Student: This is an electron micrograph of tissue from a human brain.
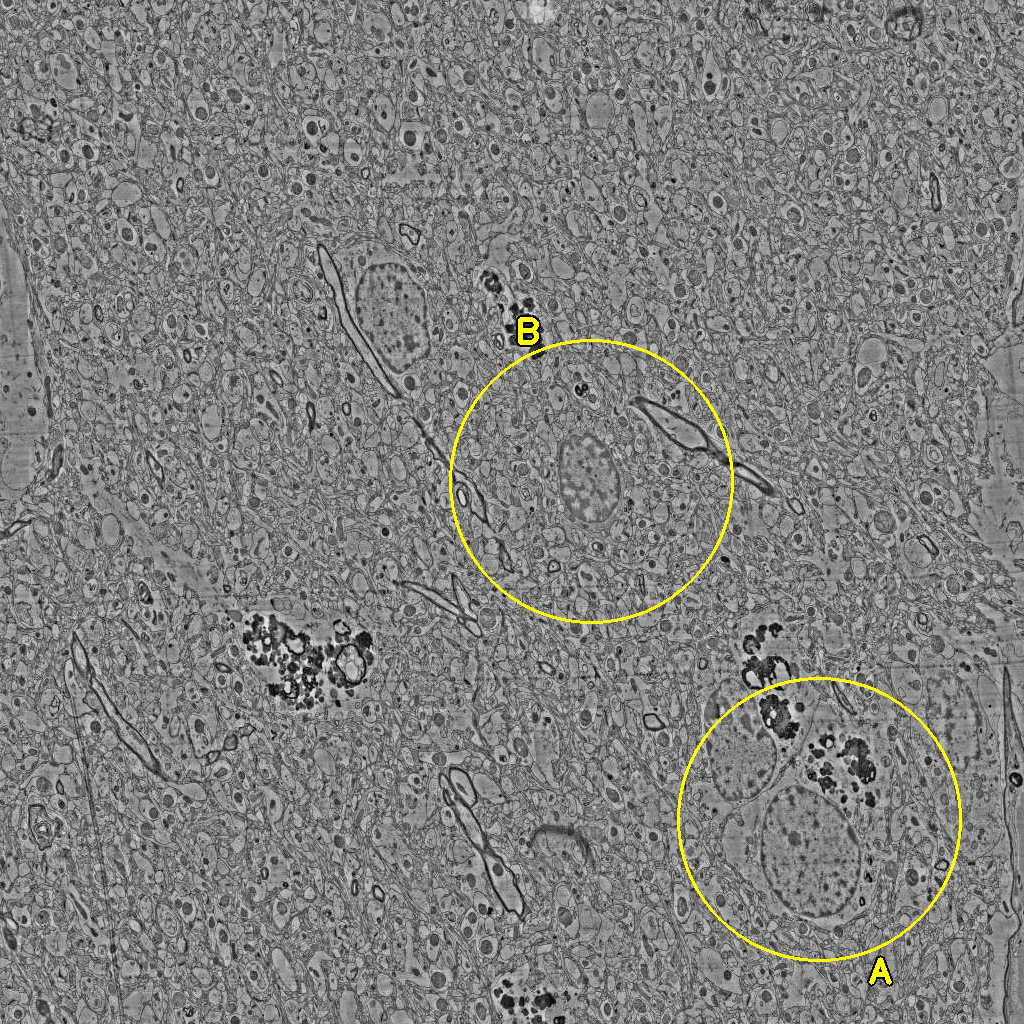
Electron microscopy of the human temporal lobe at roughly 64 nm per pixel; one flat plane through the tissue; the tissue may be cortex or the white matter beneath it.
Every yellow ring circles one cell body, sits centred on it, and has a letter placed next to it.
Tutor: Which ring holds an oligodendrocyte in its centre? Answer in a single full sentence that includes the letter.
Ring B is the ring whose centre holds the cell asked for in the picture.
